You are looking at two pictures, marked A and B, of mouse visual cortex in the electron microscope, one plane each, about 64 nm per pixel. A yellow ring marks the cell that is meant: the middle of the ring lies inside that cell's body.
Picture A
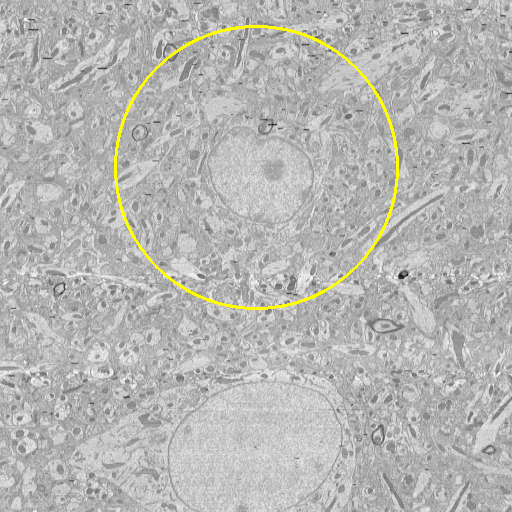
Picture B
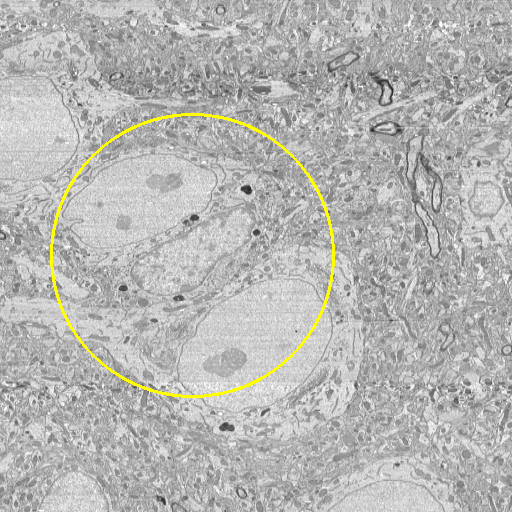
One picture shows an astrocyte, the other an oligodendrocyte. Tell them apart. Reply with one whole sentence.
Picture B shows an oligodendrocyte, while picture A shows an astrocyte.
